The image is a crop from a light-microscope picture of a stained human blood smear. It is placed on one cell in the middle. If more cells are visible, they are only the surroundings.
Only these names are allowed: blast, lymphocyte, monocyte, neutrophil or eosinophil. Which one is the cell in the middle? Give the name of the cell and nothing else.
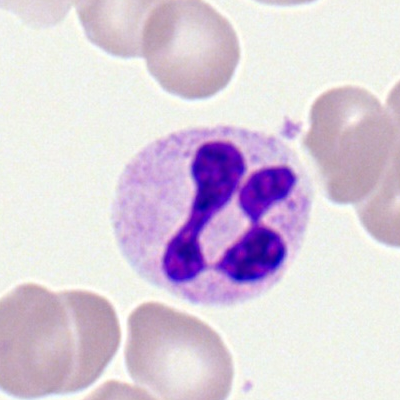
neutrophil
